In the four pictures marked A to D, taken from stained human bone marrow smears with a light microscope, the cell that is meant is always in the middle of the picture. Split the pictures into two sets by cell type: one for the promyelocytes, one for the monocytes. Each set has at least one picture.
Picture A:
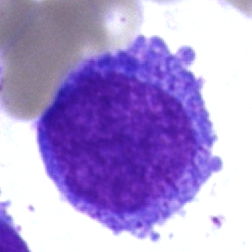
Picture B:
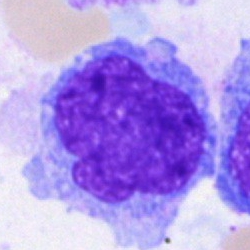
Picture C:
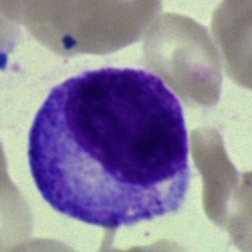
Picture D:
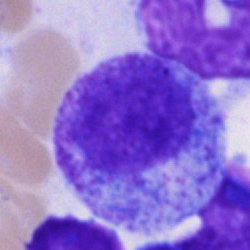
A: promyelocyte
B: monocyte
C: promyelocyte
D: promyelocyte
